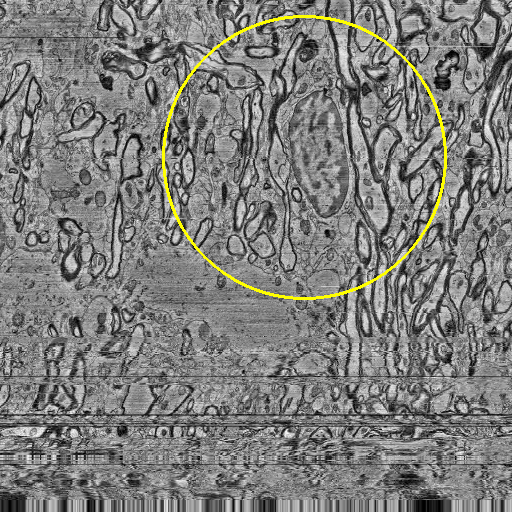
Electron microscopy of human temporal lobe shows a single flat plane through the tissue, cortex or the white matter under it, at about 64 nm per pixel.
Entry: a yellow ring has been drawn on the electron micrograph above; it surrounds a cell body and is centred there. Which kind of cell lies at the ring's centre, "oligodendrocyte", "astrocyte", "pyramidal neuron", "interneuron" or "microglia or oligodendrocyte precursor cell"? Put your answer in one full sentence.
The cell sitting at the ring's centre is a microglial cell or oligodendrocyte precursor cell in the micrograph above.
